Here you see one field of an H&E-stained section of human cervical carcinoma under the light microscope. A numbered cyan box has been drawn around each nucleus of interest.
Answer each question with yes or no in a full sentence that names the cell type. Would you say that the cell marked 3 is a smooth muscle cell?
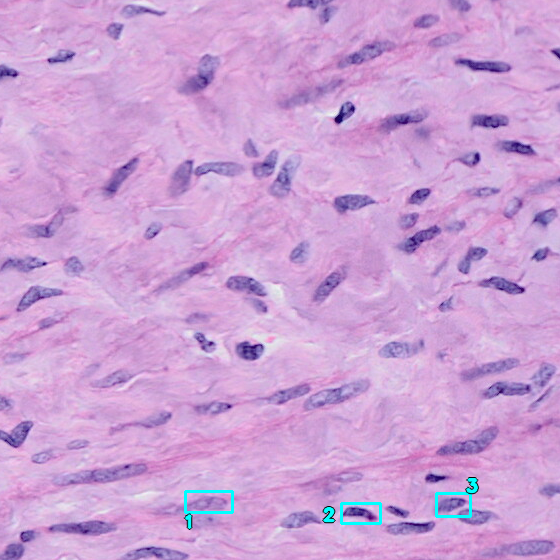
No, calling cell 3 a smooth muscle cell is a mistake; it is a fibroblast.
